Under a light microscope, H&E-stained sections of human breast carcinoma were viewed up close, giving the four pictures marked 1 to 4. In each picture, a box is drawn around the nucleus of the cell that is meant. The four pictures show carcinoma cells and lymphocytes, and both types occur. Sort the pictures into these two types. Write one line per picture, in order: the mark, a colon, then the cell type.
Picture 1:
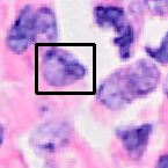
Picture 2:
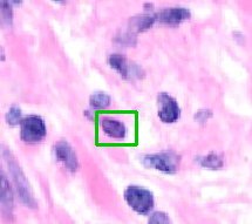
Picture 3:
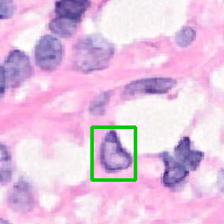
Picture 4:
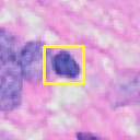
1: carcinoma cell
2: lymphocyte
3: carcinoma cell
4: lymphocyte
